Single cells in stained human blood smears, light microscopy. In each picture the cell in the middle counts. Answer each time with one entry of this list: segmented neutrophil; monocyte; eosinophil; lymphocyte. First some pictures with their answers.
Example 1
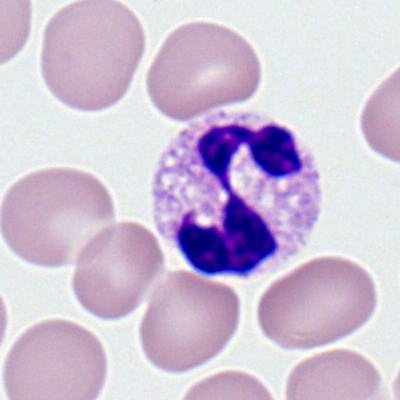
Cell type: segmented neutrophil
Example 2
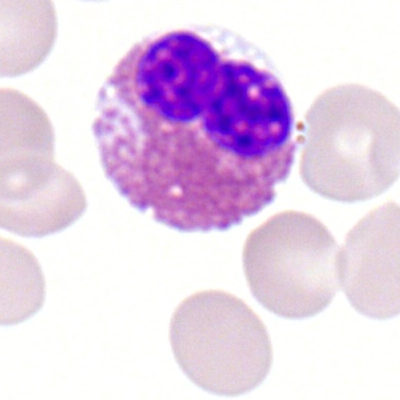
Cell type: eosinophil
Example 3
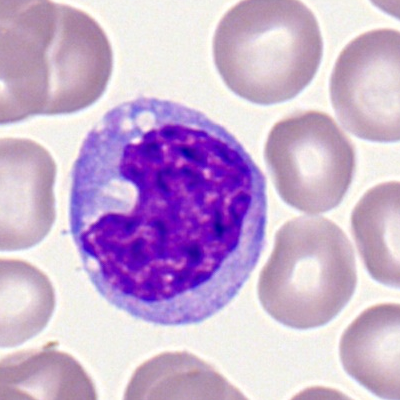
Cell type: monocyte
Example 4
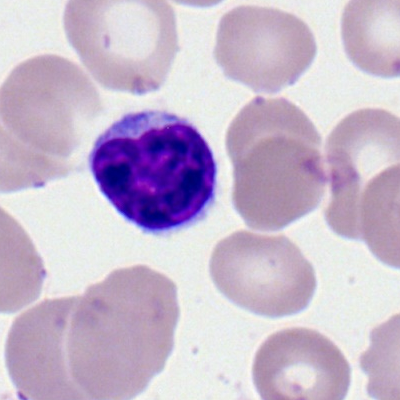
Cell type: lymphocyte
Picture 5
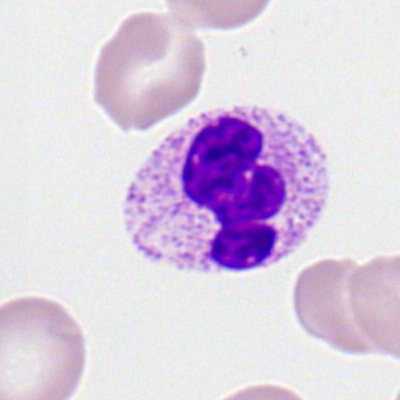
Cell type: segmented neutrophil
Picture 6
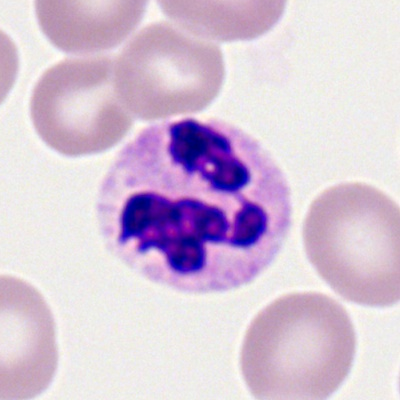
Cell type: segmented neutrophil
